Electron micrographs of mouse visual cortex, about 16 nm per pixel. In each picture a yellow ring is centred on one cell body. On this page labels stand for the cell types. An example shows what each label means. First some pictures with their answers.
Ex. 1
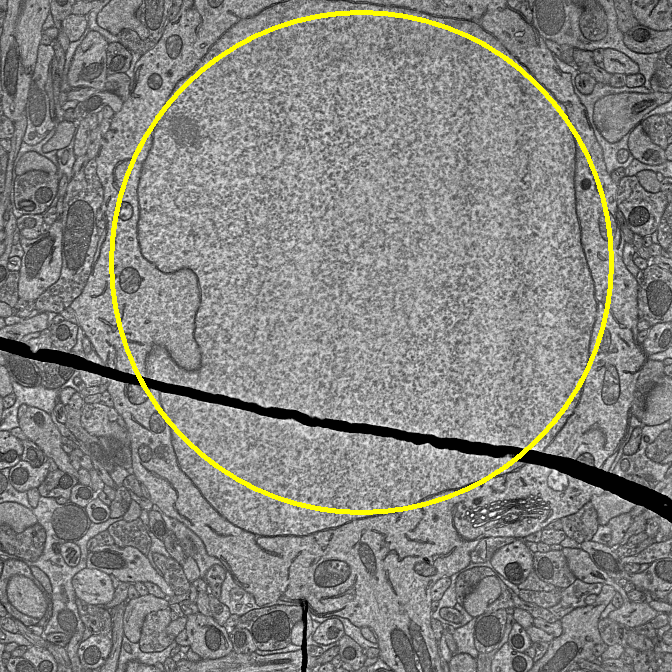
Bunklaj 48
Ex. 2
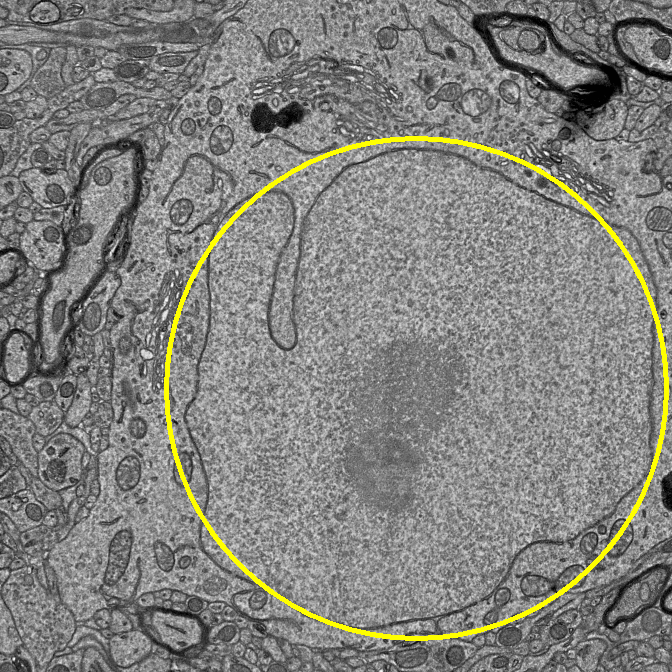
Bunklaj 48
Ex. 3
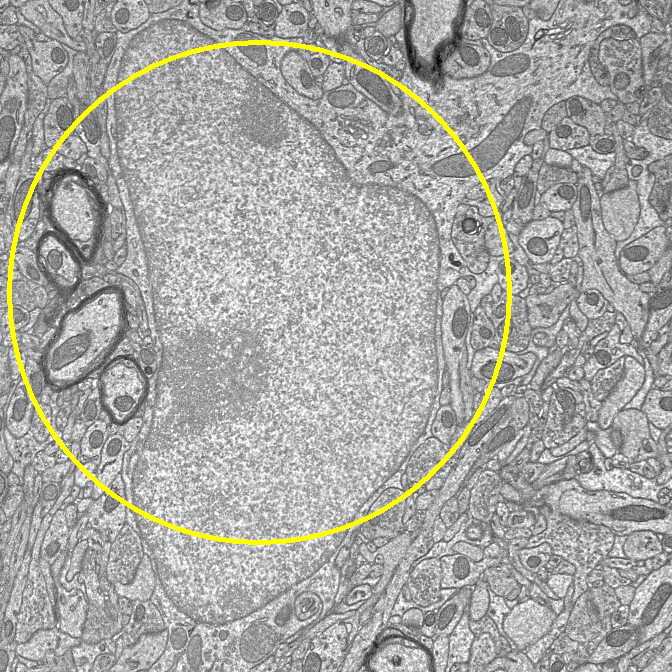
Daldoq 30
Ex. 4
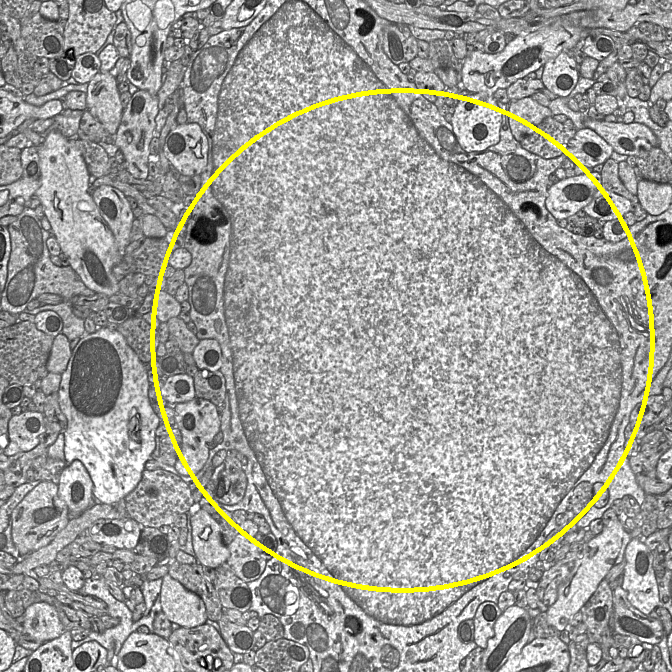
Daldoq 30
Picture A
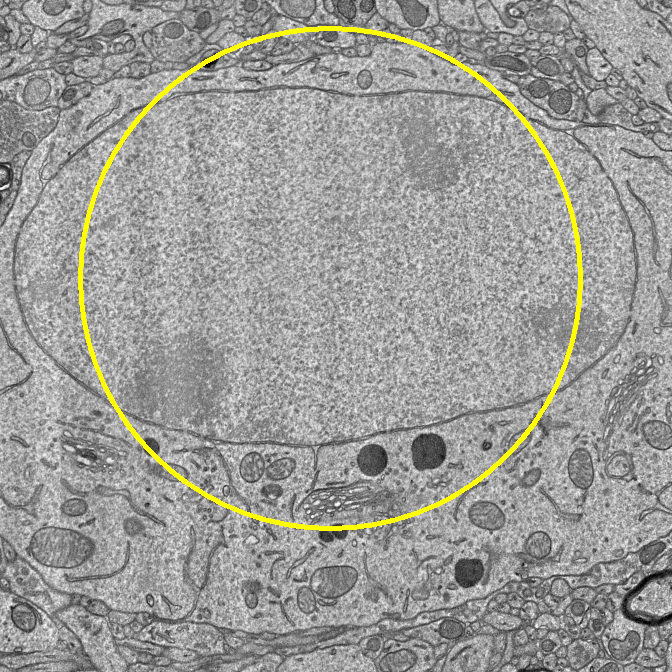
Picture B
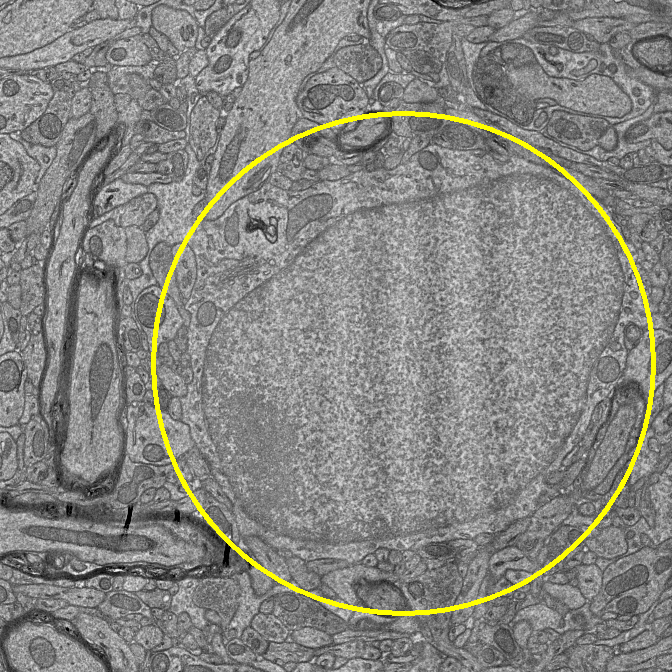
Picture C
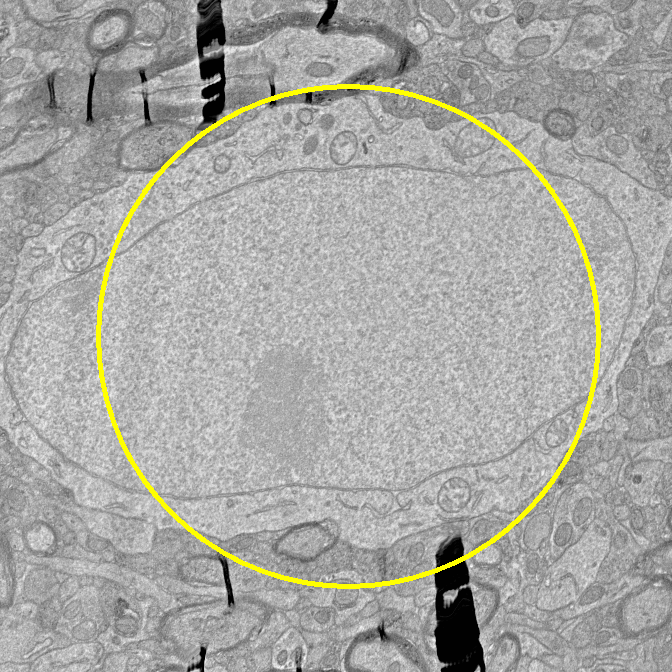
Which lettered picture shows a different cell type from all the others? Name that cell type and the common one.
Picture B: Daldoq 30. All others: Bunklaj 48.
